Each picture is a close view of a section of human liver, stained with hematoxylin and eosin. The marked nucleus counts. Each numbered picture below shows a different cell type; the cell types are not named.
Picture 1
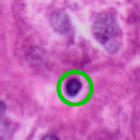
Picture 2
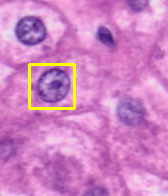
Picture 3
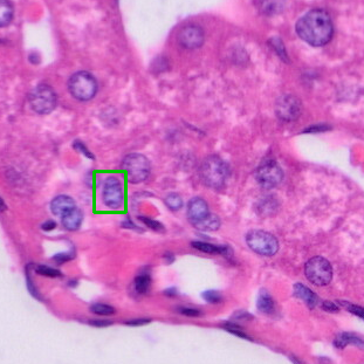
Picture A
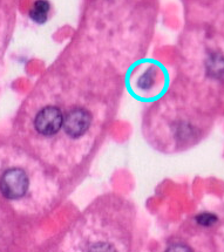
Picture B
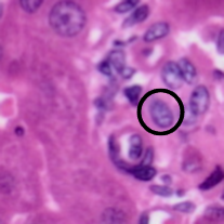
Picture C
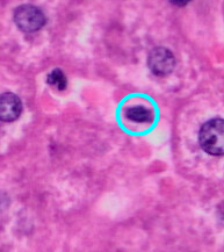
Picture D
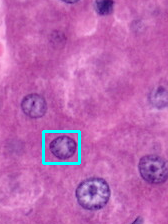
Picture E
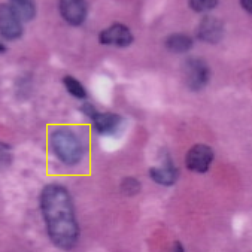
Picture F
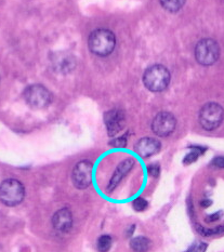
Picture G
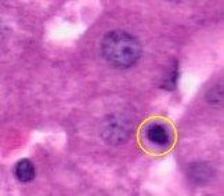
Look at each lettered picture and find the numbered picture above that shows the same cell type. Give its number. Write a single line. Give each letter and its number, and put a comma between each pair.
A 1, B 3, C 1, D 2, E 3, F 3, G 1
